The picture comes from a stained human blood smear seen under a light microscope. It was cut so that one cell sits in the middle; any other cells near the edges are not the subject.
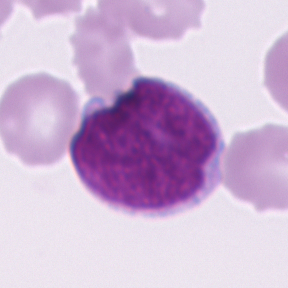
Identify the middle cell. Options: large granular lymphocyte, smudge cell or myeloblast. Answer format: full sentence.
By classification, the middle cell of this crop is a myeloblast.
